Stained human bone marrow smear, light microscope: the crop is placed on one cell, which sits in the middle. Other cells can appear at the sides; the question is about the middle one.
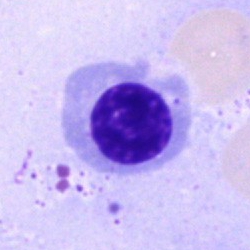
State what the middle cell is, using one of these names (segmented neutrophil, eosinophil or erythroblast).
erythroblast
